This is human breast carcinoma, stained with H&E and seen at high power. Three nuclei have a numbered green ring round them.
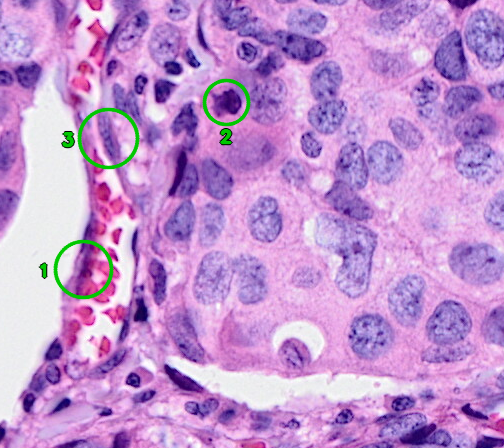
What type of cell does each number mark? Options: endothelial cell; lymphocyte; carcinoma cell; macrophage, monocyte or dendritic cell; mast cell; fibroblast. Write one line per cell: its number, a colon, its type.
1: endothelial cell
2: carcinoma cell
3: endothelial cell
